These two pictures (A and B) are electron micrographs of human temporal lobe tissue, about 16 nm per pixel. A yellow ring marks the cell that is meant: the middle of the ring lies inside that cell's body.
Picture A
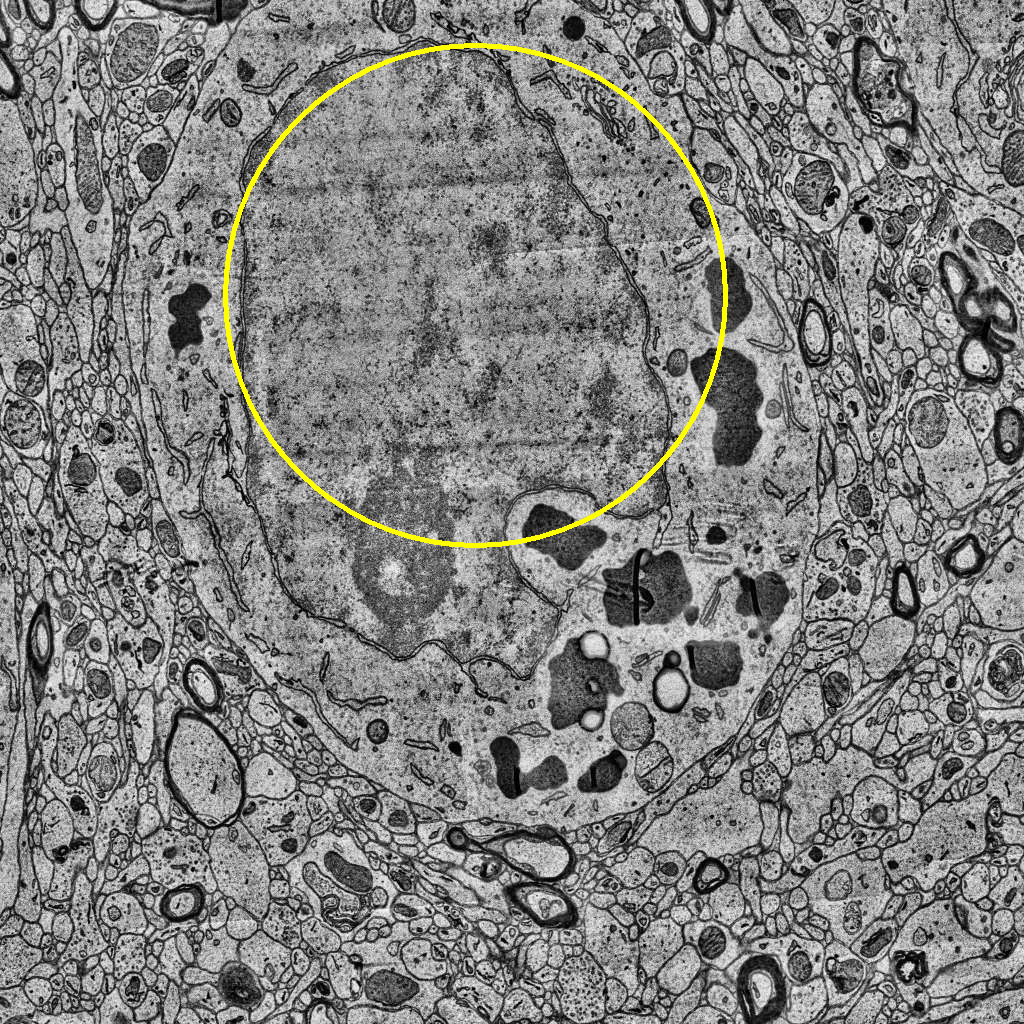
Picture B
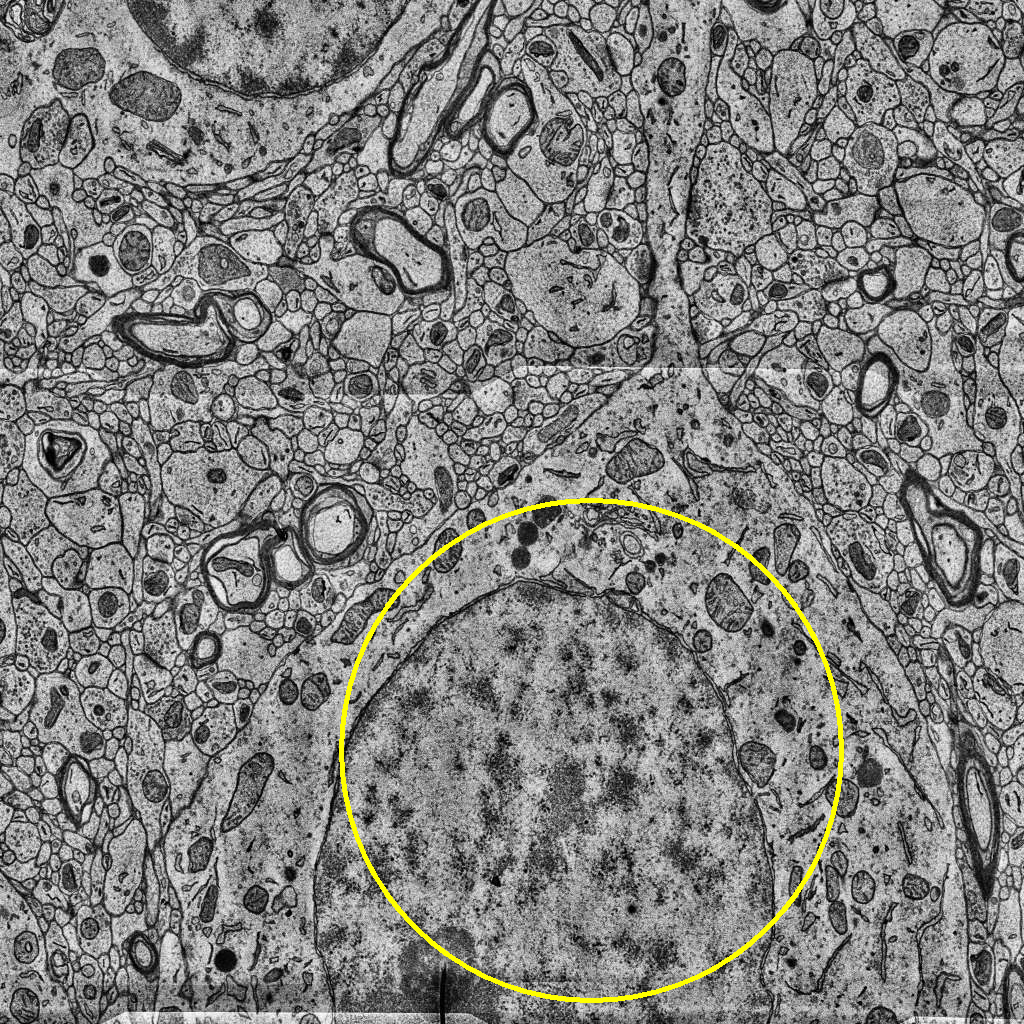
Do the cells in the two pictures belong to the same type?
Yes, they are the same type: both are interneurons.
